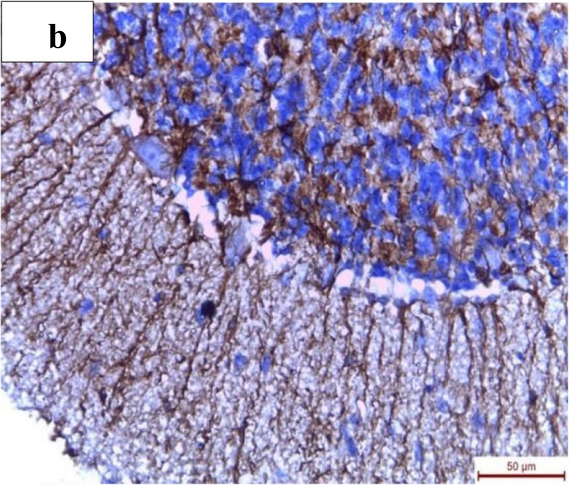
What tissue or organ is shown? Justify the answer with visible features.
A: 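A densely packed layer of small round blue nuclei. A pale fibrous layer with few nuclei lies beside it. Fine brown fibres run radially across the pale layer. That points to this answer: cerebellum.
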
